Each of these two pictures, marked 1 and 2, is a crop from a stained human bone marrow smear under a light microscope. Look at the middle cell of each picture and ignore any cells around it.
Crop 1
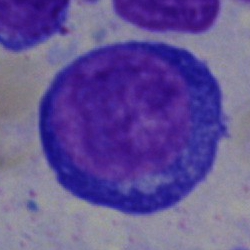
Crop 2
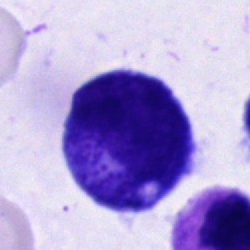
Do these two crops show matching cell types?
no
